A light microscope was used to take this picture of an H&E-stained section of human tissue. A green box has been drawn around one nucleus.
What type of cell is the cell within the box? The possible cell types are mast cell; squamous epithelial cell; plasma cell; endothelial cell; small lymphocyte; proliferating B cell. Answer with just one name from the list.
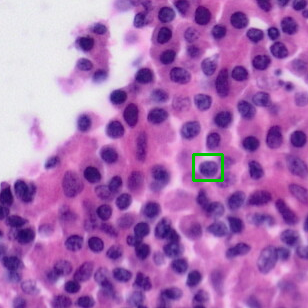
plasma cell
